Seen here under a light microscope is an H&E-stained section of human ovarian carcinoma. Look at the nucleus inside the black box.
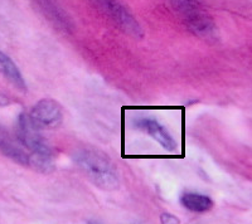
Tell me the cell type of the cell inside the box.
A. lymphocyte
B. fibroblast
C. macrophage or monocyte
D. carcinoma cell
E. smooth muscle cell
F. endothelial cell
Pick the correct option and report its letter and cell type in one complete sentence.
In agreement with option C, the cell inside the box is a macrophage or monocyte.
